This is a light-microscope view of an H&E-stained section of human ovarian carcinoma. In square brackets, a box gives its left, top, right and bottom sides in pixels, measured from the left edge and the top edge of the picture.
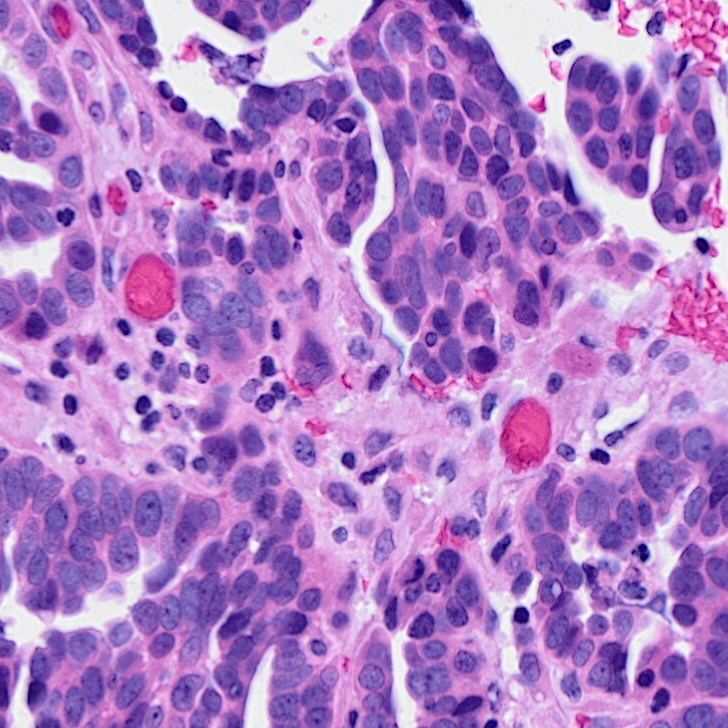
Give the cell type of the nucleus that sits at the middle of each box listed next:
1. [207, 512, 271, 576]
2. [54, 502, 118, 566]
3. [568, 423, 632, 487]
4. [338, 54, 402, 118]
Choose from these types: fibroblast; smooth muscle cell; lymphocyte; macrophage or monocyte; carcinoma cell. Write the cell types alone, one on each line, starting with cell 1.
carcinoma cell
carcinoma cell
lymphocyte
carcinoma cell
